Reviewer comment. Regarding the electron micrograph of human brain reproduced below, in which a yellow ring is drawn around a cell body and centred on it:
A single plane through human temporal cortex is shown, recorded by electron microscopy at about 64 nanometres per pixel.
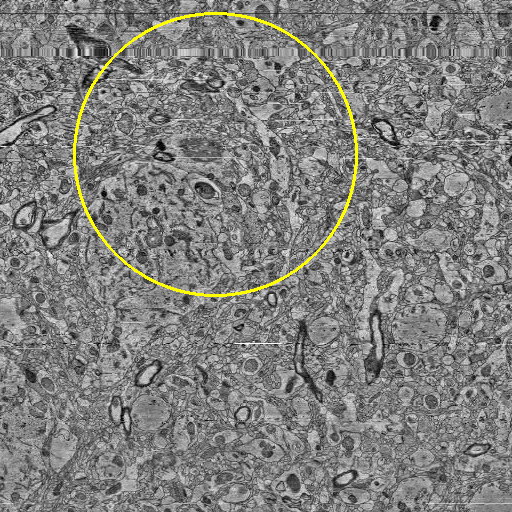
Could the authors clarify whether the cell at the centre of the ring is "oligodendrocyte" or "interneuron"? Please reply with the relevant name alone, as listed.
oligodendrocyte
